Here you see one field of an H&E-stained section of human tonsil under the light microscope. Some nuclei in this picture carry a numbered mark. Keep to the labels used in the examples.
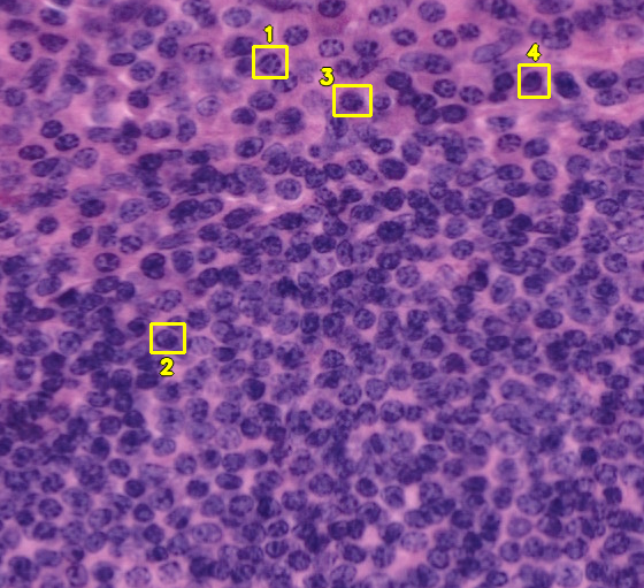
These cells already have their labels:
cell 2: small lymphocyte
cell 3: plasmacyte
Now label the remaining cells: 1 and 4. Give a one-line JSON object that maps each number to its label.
{"1": "plasmacyte", "4": "plasmacyte"}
